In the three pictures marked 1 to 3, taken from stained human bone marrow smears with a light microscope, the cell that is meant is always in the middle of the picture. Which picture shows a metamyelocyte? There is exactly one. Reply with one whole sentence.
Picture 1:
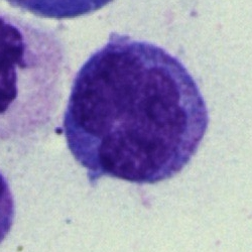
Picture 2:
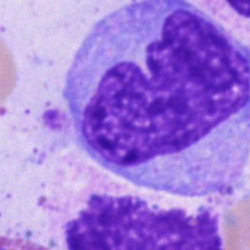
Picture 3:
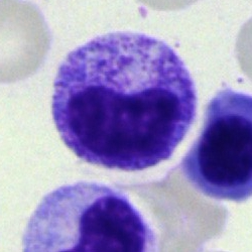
The picture with the metamyelocyte is 3.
